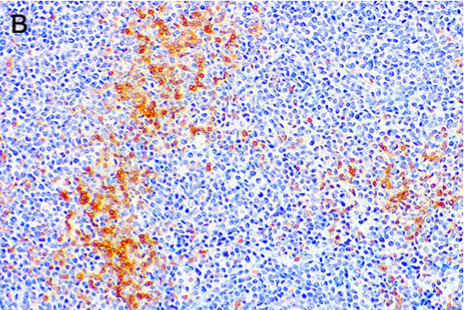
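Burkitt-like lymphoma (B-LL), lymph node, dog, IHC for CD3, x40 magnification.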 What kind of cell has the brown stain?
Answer: small lymphocytes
